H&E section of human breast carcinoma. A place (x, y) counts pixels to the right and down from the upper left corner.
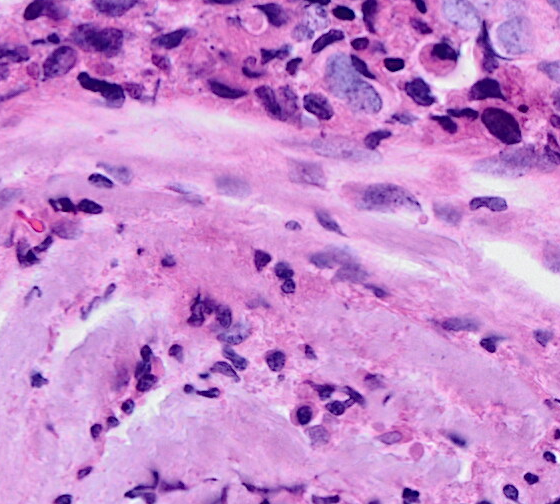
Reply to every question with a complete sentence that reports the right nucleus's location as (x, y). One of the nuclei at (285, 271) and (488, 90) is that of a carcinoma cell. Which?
Of the two nuclei, the one sitting at (488, 90) belongs to a carcinoma cell.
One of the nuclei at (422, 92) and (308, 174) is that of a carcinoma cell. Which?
The nucleus that belongs to a carcinoma cell sits at (422, 92).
